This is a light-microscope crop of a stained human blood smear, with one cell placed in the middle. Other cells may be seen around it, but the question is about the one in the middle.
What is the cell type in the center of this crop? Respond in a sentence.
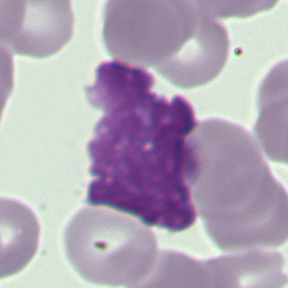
This particular crop is centered on a smudge cell.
